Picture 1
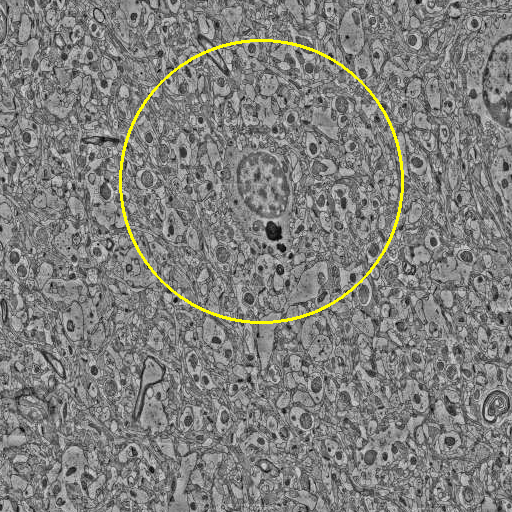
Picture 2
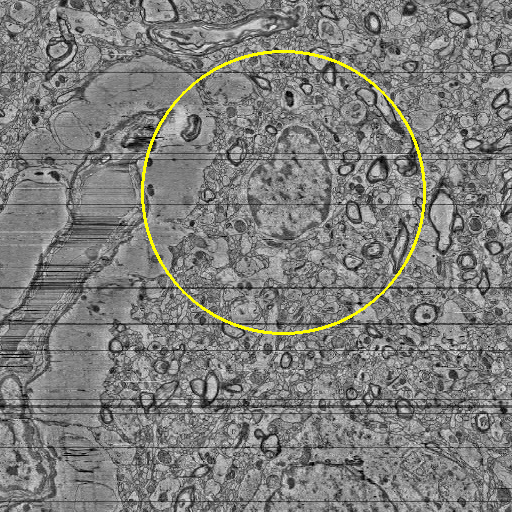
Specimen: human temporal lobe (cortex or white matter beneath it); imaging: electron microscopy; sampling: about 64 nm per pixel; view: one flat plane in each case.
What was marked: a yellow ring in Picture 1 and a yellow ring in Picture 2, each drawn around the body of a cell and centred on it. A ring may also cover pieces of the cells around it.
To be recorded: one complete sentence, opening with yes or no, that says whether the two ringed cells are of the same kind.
No, the two ringed cells are of two kinds.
